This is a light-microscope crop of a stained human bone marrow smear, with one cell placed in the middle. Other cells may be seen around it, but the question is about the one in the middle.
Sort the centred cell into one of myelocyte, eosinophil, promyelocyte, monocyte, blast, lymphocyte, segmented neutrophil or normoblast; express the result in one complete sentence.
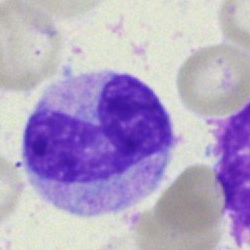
As for the central cell, it is a monocyte.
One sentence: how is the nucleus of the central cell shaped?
Its nucleus is compact and single, with a round, oval or kidney-shaped form.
